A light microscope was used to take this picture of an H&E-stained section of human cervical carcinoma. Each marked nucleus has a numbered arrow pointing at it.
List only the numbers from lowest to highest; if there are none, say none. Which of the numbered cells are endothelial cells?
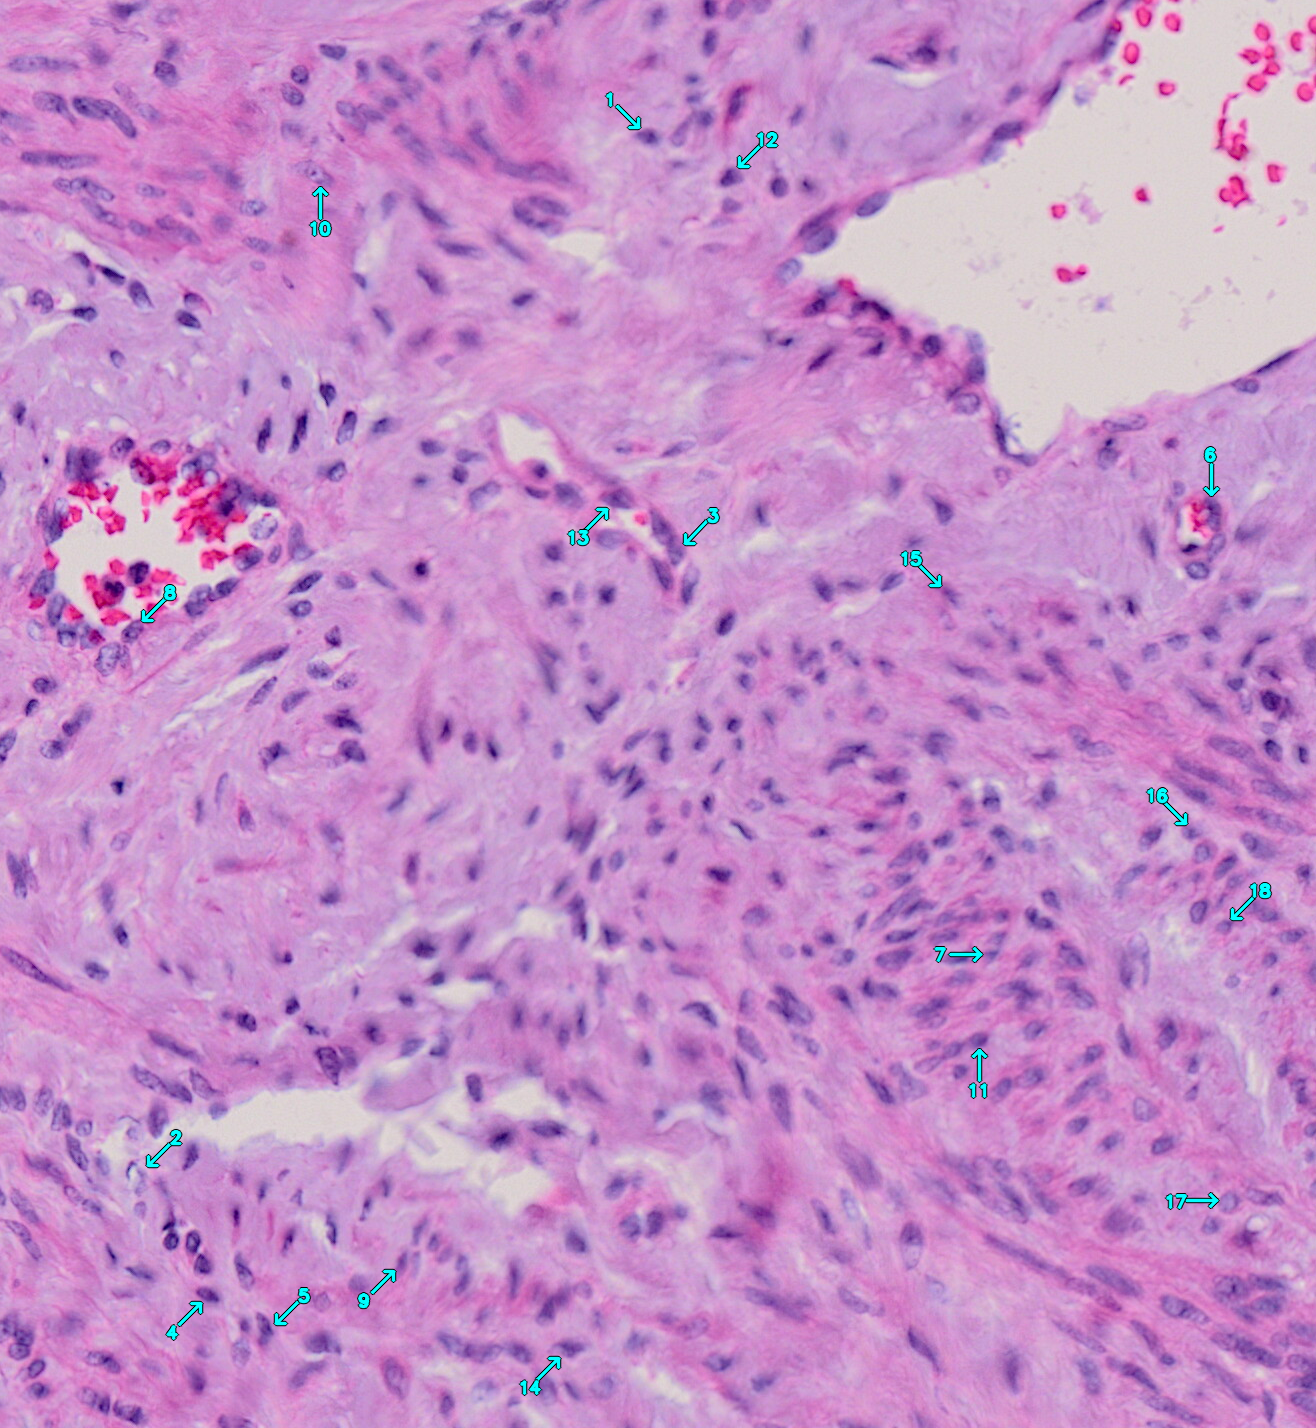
3, 6, 8, 13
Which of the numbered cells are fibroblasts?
1, 2, 4, 5, 12, 14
